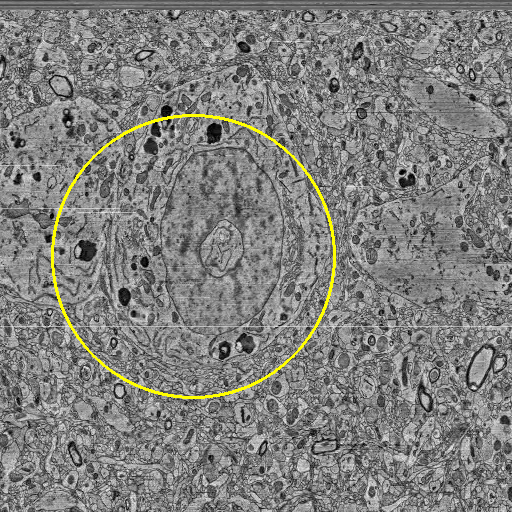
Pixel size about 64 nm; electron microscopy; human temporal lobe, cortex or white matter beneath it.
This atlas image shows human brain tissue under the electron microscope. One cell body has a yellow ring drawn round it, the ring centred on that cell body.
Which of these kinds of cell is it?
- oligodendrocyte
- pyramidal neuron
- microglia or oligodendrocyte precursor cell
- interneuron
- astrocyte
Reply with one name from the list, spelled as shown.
interneuron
